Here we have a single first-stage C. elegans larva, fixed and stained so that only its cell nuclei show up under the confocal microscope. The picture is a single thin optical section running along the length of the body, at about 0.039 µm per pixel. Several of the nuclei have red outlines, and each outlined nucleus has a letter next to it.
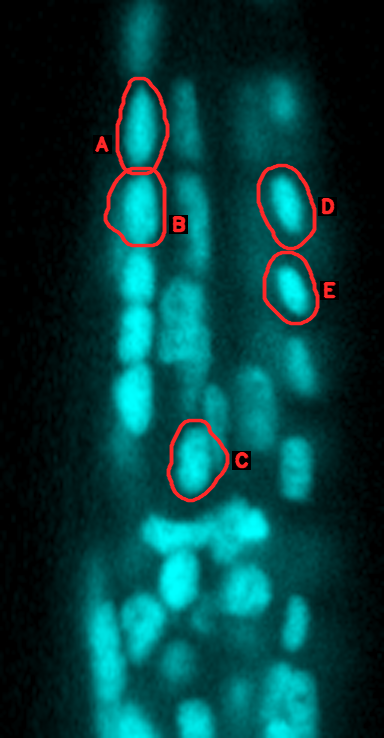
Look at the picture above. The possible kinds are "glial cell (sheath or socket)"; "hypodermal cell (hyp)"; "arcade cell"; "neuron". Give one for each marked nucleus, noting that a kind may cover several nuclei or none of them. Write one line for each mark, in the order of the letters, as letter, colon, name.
A: arcade cell
B: arcade cell
C: neuron
D: arcade cell
E: glial cell (sheath or socket)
